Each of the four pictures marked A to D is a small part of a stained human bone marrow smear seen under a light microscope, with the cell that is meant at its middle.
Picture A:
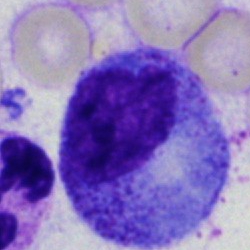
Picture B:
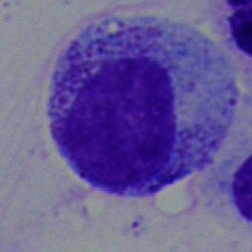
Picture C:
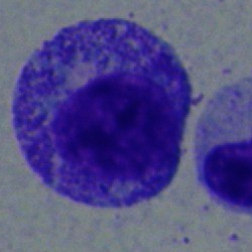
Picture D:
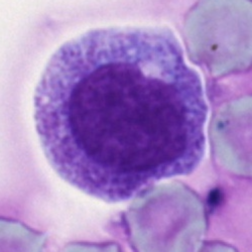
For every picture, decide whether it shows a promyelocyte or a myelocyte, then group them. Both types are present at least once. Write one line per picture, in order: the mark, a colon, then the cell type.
A: promyelocyte
B: myelocyte
C: myelocyte
D: promyelocyte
